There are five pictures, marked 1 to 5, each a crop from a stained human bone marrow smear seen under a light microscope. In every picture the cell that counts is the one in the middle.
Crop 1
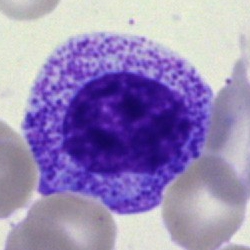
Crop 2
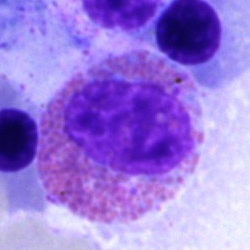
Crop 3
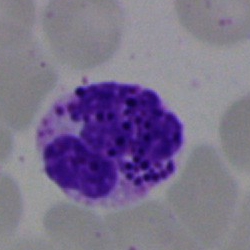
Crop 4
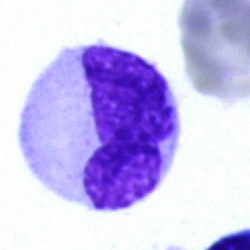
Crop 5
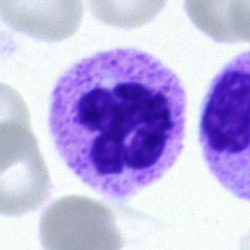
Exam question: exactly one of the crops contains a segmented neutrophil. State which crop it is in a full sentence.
Within this set, crop 5 is the one with a segmented neutrophil at its center.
